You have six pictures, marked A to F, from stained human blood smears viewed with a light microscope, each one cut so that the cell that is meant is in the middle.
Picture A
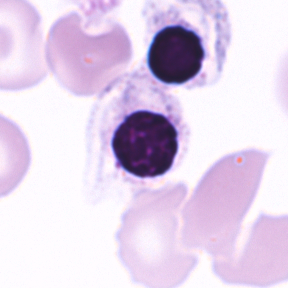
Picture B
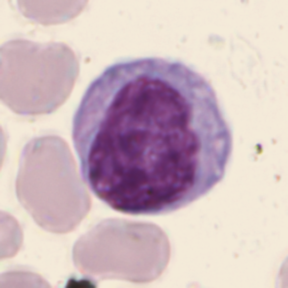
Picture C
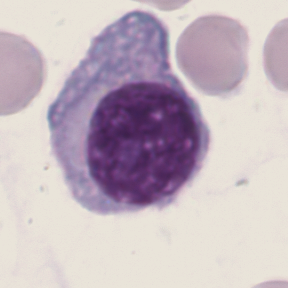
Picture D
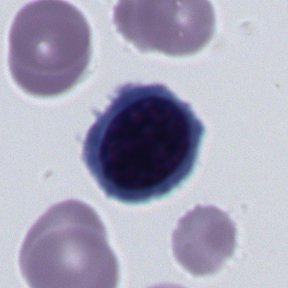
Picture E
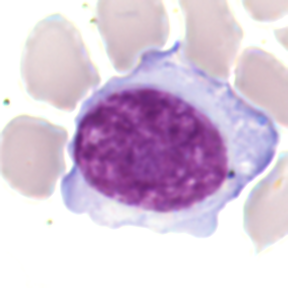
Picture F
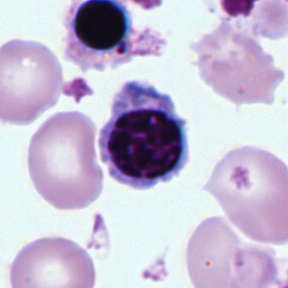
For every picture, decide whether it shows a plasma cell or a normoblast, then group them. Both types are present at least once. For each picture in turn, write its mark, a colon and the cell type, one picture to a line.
A: normoblast
B: plasma cell
C: plasma cell
D: normoblast
E: plasma cell
F: normoblast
